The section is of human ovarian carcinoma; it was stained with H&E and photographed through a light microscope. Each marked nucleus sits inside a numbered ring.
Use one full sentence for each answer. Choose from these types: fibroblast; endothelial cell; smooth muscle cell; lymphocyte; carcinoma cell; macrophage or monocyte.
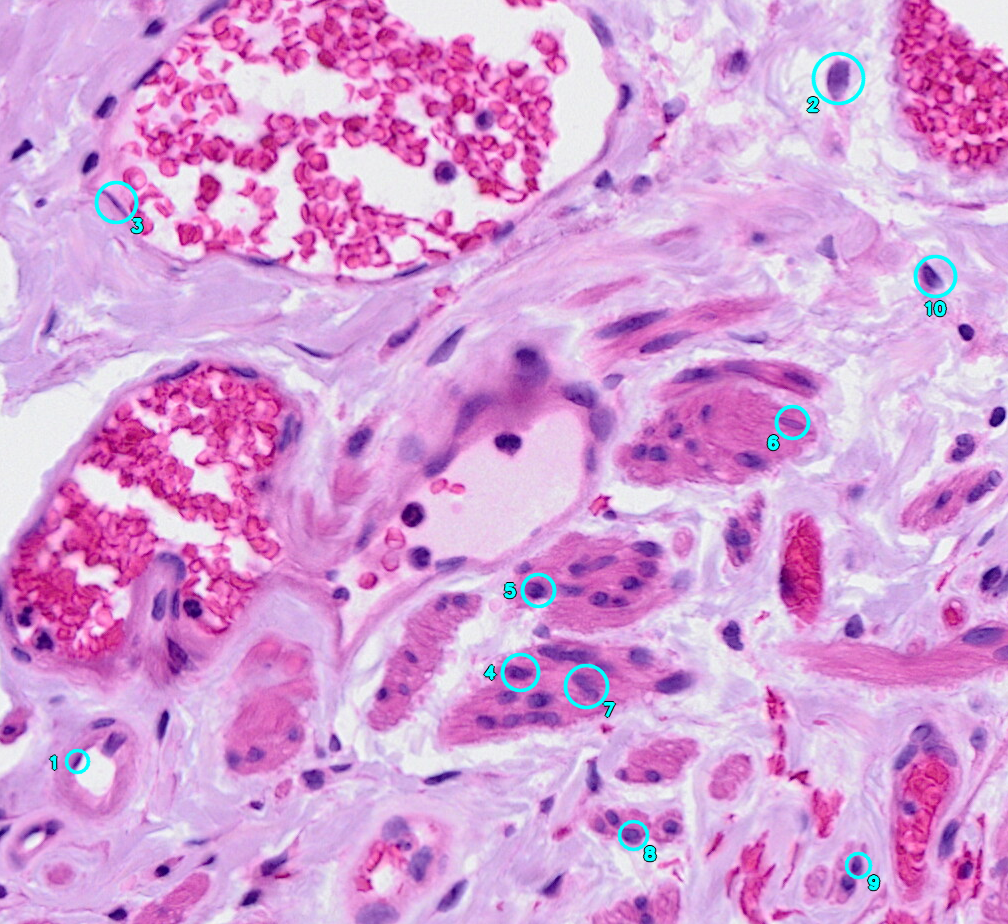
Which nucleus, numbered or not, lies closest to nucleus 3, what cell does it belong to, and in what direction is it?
The nearest one is a lymphocyte, found above and to the left of nucleus 3.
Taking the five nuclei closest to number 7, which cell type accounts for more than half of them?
Smooth muscle cells account for more than half of the five nuclei nearest to number 7.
